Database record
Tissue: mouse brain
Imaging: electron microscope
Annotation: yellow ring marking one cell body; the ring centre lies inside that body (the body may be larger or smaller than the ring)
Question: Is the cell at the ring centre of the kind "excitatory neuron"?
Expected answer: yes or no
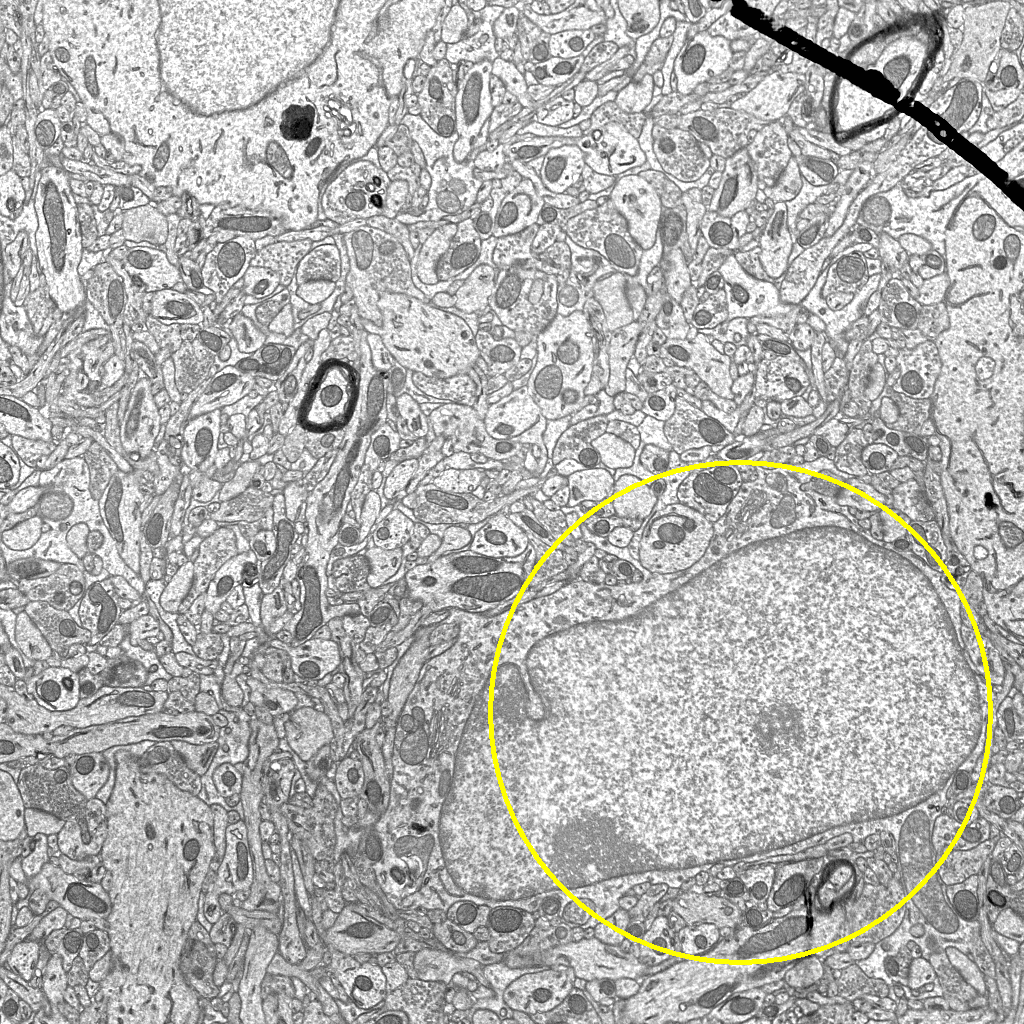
no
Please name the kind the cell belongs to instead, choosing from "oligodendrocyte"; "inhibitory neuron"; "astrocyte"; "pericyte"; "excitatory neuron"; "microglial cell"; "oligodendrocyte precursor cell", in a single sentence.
Sitting at the ring centre is an astrocyte.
